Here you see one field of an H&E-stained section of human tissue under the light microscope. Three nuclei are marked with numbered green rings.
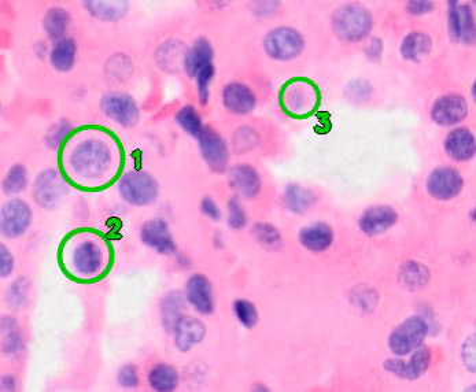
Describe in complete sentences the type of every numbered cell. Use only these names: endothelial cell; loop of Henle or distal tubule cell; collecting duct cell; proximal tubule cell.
Cell 1 is a collecting duct cell, cell 2 is a collecting duct cell and cell 3 is a loop of Henle or distal tubule cell.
